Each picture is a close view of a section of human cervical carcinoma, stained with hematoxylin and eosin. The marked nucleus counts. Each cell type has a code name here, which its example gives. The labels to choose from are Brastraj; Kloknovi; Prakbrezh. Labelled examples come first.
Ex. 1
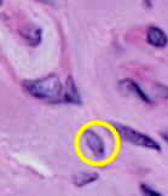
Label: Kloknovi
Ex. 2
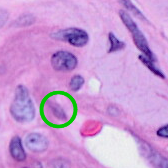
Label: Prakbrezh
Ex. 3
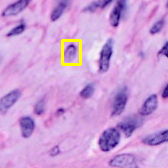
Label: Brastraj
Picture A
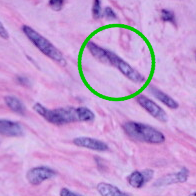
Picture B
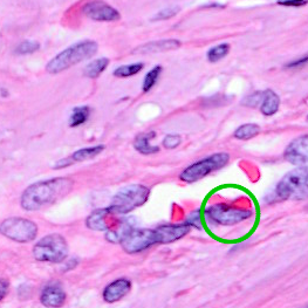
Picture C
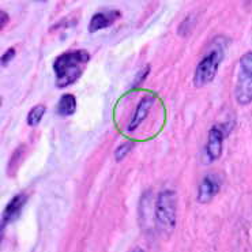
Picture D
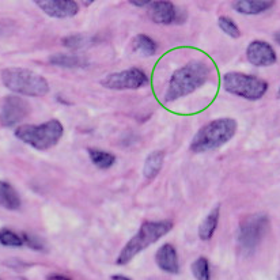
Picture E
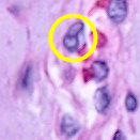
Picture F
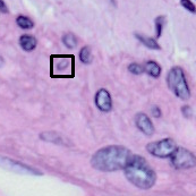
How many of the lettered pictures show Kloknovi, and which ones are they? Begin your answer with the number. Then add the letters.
1, namely D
